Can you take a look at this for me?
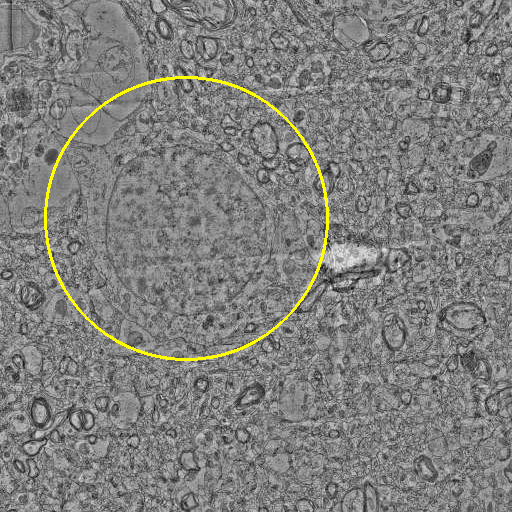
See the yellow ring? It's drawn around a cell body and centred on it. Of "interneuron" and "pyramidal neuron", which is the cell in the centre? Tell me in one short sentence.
The one in the centre is an interneuron.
